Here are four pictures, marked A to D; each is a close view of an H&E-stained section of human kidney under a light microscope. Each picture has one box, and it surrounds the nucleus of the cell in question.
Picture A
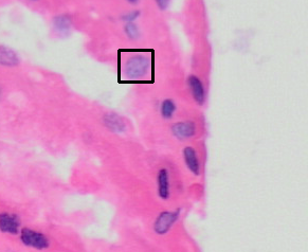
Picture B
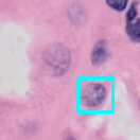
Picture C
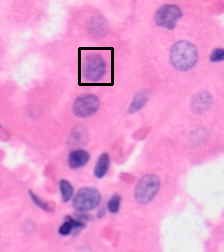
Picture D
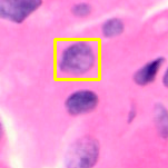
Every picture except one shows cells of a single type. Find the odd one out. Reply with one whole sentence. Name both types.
Picture C differs, because its cell is a proximal tubule cell and the rest are “loop of Henle or distal tubule cells”.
